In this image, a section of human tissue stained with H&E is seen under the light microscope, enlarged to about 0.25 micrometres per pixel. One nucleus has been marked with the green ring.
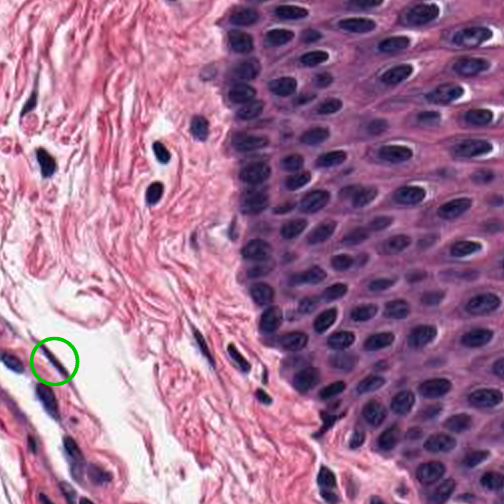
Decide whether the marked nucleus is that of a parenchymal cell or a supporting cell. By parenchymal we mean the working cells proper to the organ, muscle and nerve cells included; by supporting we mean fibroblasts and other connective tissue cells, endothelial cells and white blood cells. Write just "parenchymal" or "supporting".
supporting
